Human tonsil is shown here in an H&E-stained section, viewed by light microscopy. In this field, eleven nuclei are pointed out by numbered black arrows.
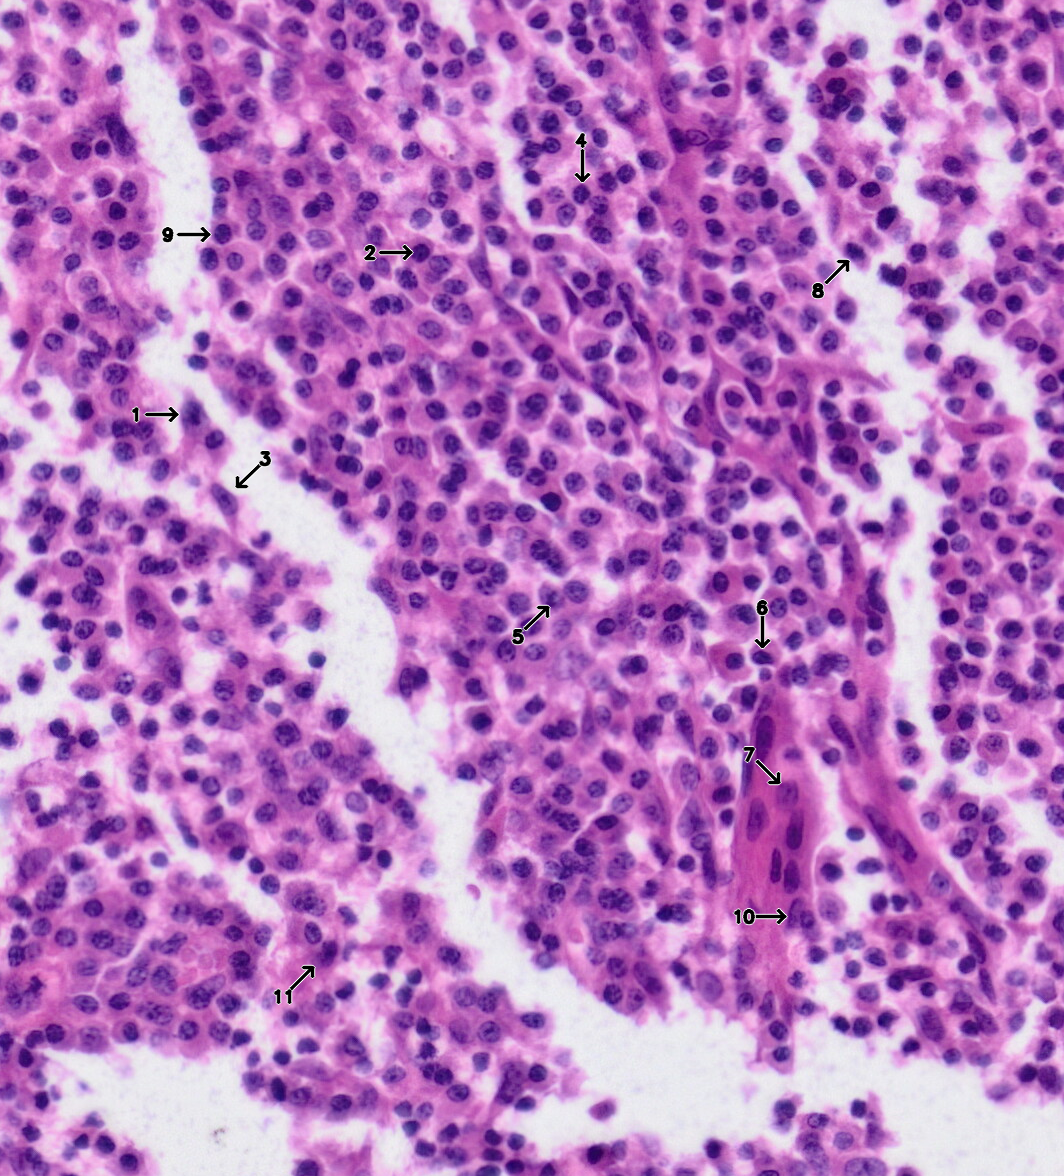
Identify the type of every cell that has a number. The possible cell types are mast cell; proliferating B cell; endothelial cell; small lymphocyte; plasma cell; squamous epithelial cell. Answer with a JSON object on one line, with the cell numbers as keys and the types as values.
{"1": "squamous epithelial cell", "2": "plasma cell", "3": "squamous epithelial cell", "4": "plasma cell", "5": "plasma cell", "6": "plasma cell", "7": "squamous epithelial cell", "8": "plasma cell", "9": "plasma cell", "10": "squamous epithelial cell", "11": "squamous epithelial cell"}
